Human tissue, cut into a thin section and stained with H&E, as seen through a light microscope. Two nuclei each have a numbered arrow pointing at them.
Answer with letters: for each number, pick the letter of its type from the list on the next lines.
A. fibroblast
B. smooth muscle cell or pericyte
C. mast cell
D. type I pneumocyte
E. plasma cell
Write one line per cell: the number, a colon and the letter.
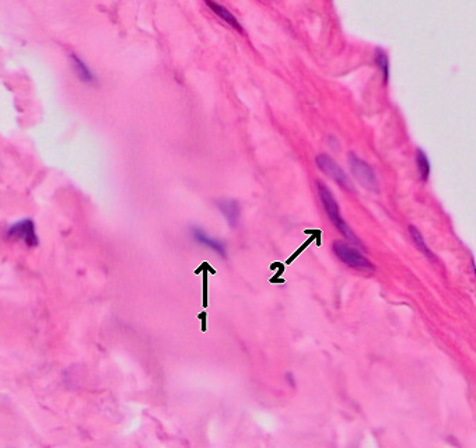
1: A
2: B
